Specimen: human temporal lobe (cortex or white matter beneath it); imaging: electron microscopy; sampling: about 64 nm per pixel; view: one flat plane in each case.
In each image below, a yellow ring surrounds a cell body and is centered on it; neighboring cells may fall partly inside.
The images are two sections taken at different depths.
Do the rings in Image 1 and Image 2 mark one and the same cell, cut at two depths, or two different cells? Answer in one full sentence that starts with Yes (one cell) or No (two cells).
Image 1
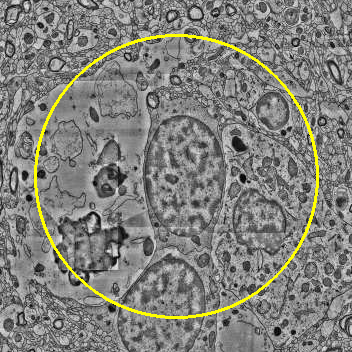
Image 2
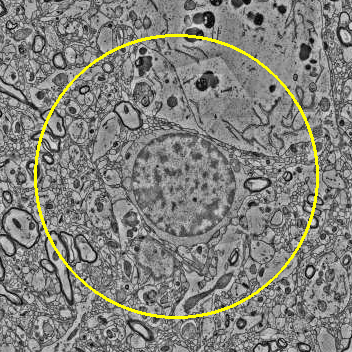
No, in this micrograph the two rings mark two different cells.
